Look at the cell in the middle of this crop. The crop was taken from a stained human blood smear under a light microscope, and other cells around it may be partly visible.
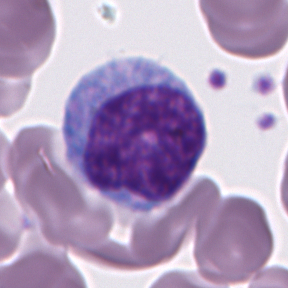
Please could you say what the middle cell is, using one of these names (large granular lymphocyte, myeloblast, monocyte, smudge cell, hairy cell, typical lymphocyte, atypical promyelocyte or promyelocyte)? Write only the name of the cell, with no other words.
monocyte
